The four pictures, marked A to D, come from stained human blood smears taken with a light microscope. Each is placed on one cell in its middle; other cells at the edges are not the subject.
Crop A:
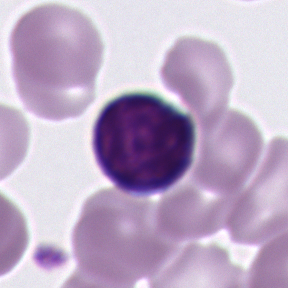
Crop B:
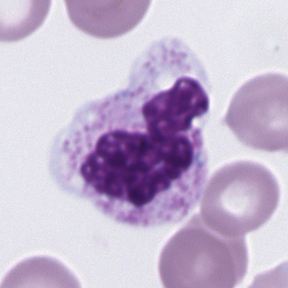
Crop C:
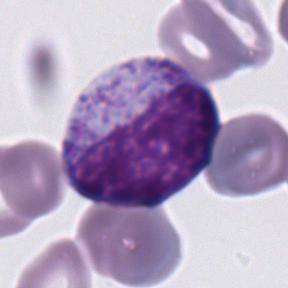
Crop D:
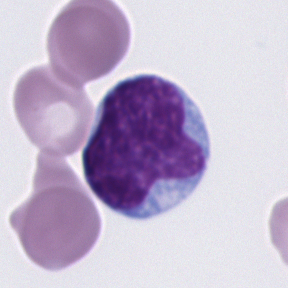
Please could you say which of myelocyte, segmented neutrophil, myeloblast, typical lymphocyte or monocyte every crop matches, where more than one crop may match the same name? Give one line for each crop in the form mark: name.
A: typical lymphocyte
B: segmented neutrophil
C: myelocyte
D: myeloblast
